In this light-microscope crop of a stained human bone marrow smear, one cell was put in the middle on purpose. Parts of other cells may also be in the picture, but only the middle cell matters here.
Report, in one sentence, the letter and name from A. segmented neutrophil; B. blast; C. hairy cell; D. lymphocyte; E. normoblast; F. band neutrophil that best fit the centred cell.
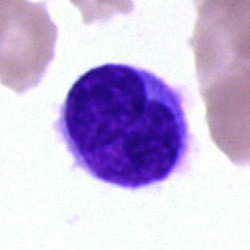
The central cell in this crop is a hairy cell, corresponding to option C, the correct option.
